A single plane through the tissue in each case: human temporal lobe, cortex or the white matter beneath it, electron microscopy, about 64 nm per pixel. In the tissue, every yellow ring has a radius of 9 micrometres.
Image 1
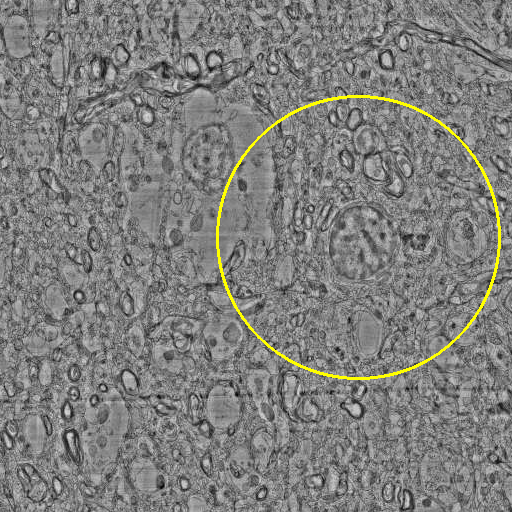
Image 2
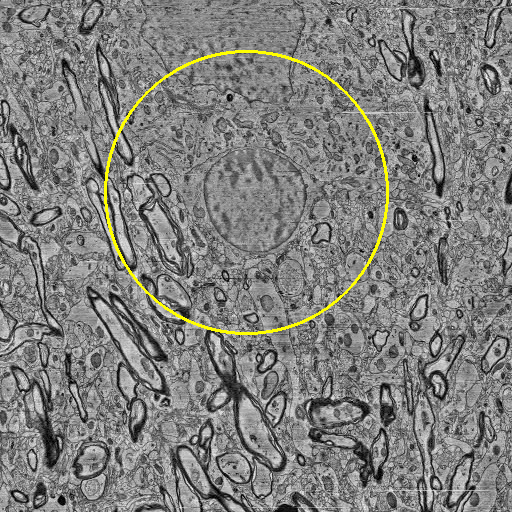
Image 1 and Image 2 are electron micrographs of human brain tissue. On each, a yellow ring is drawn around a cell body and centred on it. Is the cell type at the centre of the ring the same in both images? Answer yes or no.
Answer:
no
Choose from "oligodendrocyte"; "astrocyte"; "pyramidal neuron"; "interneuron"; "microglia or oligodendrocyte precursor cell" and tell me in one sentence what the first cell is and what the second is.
What the first ring is centred on is a microglial cell or oligodendrocyte precursor cell; what the second ring is centred on is an oligodendrocyte.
